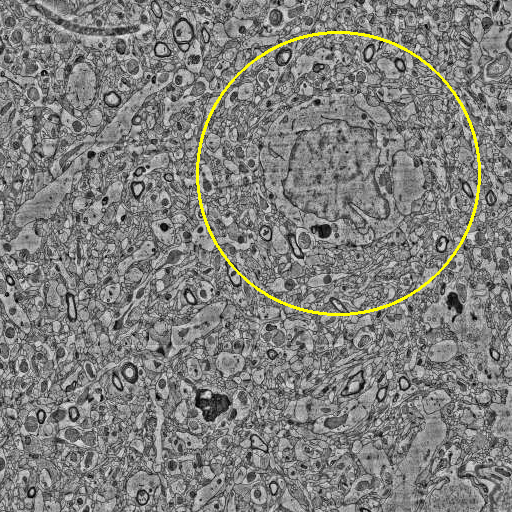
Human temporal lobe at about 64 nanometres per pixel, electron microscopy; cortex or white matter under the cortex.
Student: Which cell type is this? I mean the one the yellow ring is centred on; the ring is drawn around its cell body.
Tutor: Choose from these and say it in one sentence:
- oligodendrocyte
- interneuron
The cell the ring is centred on is an interneuron.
